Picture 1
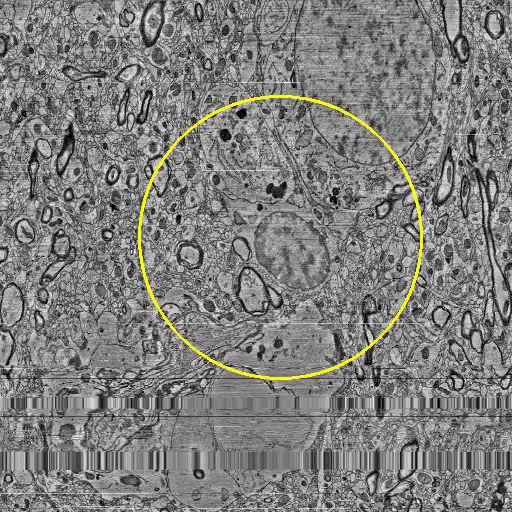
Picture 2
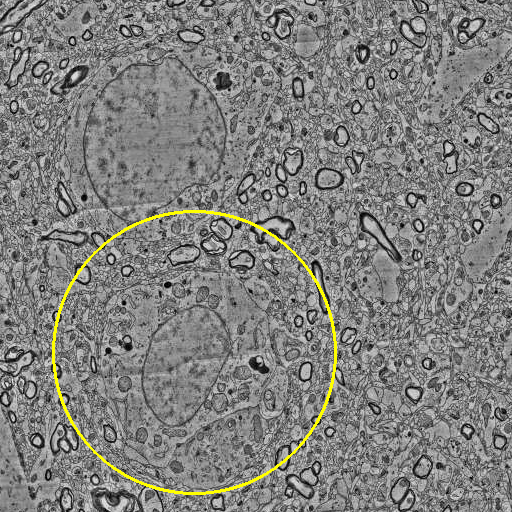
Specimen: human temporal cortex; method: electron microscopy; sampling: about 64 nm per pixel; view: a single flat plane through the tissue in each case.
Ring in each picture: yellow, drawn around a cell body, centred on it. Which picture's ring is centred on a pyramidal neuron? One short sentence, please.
Picture 2 is the one.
